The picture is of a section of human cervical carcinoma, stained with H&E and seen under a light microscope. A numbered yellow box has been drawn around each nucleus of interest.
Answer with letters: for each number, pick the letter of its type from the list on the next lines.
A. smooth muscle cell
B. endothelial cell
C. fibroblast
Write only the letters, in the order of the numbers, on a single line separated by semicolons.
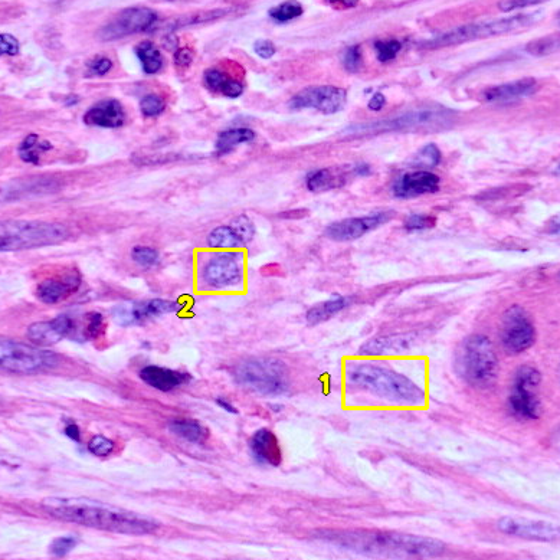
C; B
